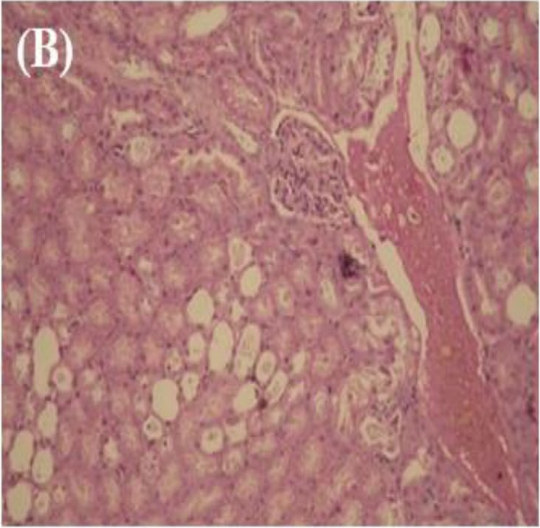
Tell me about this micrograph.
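This is kidney cortex at lower magnification, with a glomerulus inside its Bowman's capsule lying beside a broad blood vessel filled with pink material. Around them, many tubules have widened, clear lumens among the pink-stained tubular epithelium.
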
